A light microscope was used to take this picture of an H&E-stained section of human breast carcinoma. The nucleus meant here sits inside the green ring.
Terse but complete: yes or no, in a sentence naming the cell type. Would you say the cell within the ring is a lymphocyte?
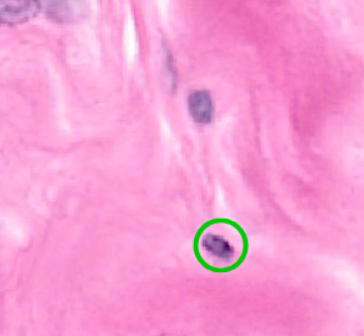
Yes, it is a lymphocyte that the cell within the ring represents in this section.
